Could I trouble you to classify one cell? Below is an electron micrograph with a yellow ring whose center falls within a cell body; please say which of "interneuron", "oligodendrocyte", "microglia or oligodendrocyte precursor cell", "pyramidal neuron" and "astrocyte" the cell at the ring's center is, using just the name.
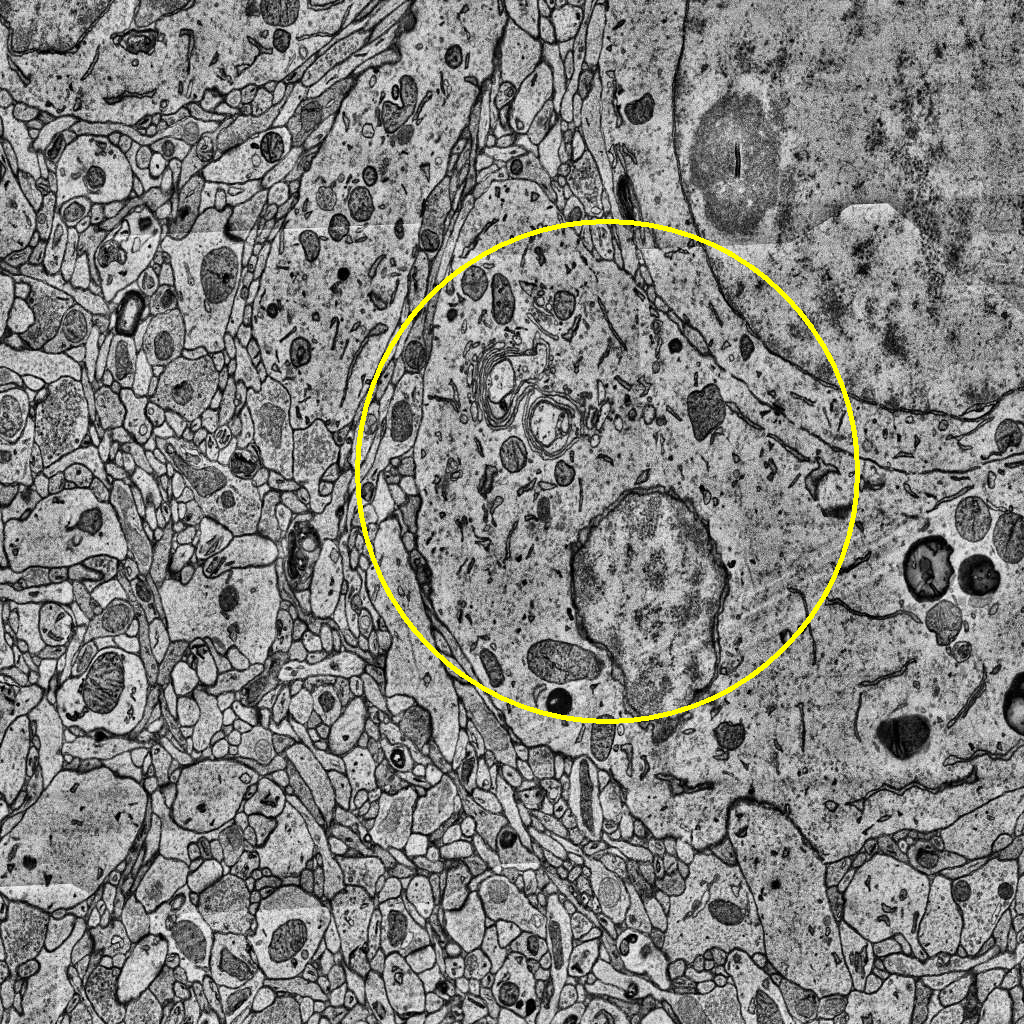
pyramidal neuron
